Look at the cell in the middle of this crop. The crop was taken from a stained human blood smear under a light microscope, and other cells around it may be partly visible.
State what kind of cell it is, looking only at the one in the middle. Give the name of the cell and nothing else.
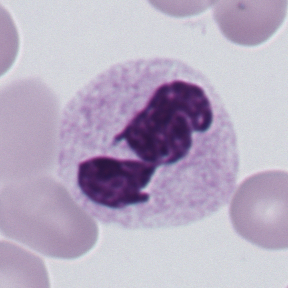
segmented neutrophil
